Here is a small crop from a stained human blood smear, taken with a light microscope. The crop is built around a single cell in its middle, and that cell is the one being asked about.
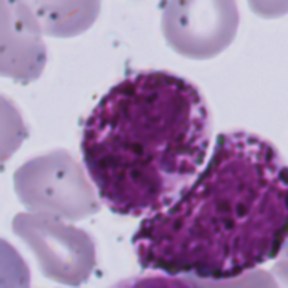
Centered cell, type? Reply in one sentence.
The cell featured at the centre of this crop is a basophil.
